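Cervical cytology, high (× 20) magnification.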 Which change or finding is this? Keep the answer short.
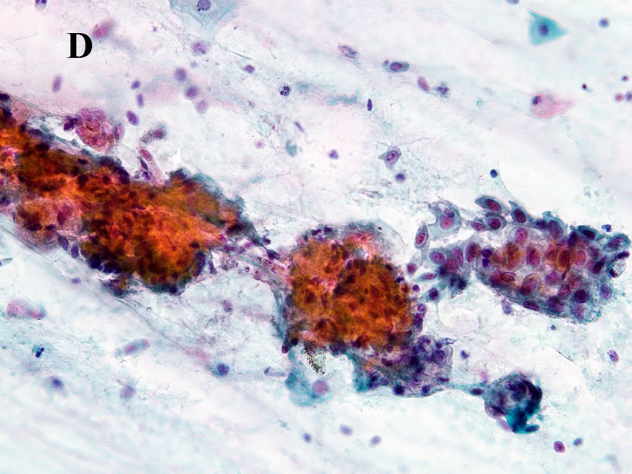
Enlarged hyperchromatic nuclei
